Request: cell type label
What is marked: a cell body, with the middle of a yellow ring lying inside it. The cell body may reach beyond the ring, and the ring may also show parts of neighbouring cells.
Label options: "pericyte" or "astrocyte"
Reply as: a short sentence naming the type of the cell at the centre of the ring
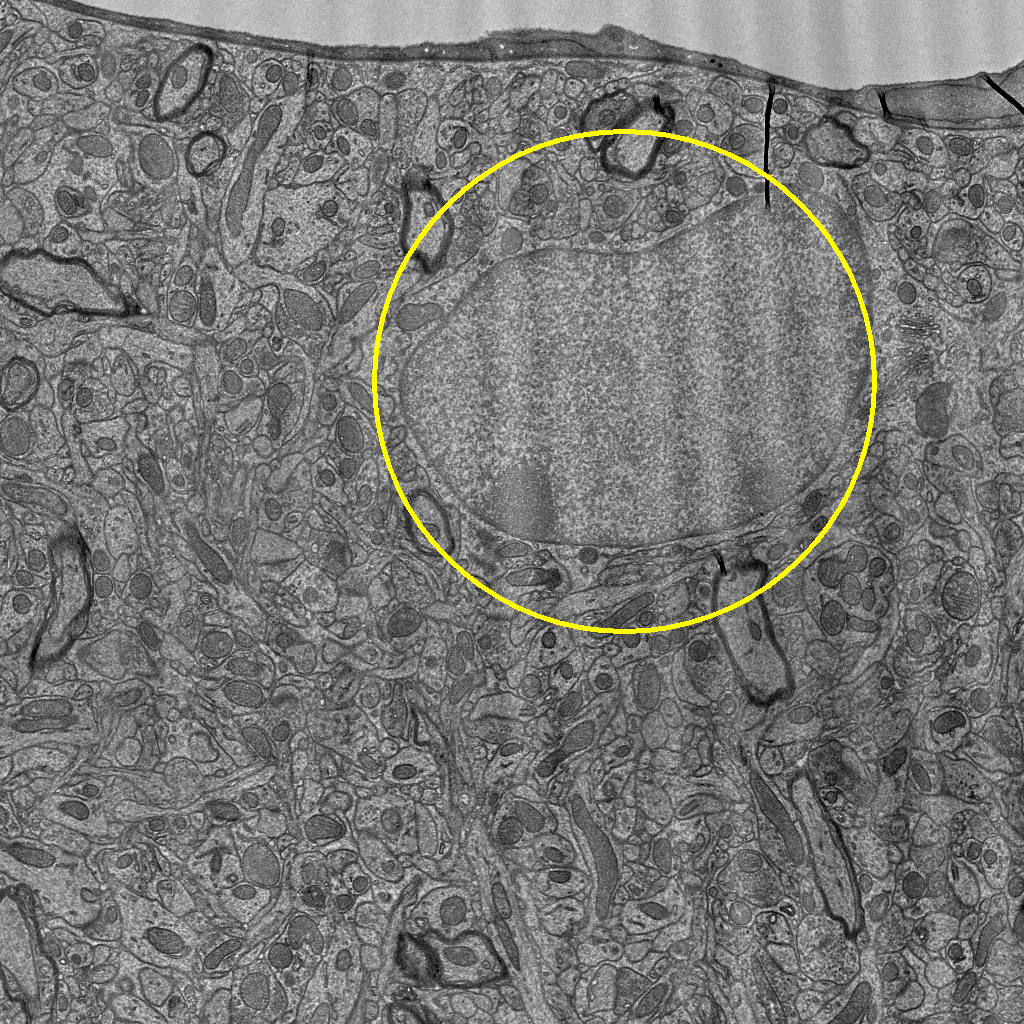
The marked cell body is that of an astrocyte.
